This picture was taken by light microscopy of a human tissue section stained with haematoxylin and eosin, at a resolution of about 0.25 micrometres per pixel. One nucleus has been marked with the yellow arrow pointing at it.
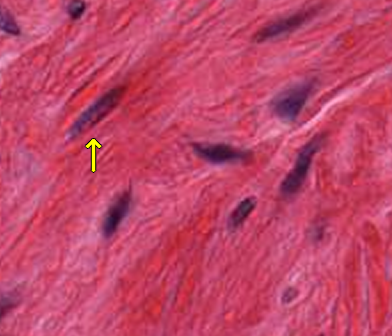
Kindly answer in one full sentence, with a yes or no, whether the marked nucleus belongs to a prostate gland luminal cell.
No, the marked nucleus is not a nucleus of a prostate gland luminal cell.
